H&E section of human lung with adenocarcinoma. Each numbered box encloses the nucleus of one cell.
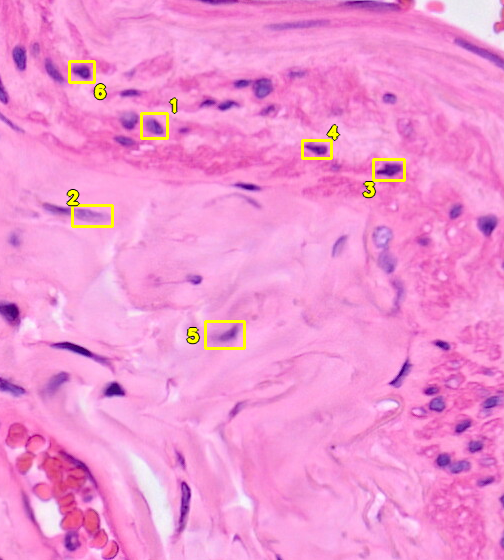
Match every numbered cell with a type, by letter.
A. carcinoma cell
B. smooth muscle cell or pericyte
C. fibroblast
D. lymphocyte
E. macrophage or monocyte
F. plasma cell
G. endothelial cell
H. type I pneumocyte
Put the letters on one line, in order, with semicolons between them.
B; C; B; B; C; B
